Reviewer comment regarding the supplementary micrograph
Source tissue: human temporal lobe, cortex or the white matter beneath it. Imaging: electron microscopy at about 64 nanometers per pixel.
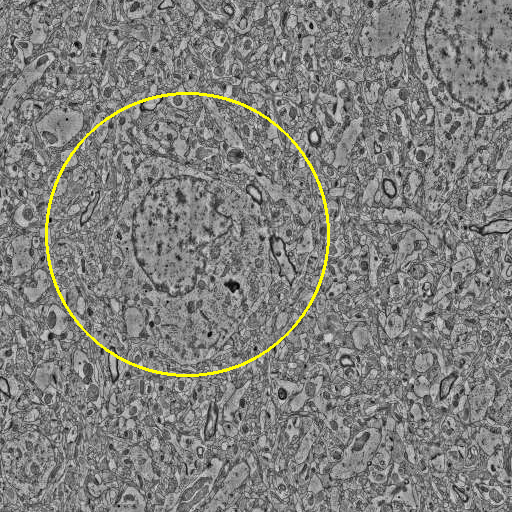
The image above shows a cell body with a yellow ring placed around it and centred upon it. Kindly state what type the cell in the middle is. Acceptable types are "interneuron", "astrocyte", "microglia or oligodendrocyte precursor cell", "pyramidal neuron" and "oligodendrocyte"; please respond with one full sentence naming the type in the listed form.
In the image above, the cell on which the yellow ring is centred is a pyramidal neuron.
